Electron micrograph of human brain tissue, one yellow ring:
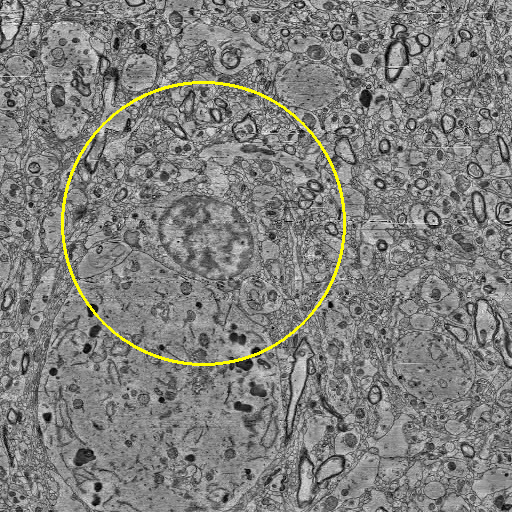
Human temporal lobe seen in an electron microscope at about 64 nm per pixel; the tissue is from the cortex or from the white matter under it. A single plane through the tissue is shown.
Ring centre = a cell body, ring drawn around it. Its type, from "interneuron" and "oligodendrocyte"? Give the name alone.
oligodendrocyte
